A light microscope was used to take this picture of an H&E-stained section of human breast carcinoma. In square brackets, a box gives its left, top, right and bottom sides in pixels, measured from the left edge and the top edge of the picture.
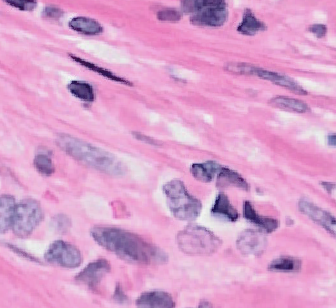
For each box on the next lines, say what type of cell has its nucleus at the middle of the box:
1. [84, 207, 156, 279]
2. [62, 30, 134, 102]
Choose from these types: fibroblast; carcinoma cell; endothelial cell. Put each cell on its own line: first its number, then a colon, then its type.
1: endothelial cell
2: fibroblast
